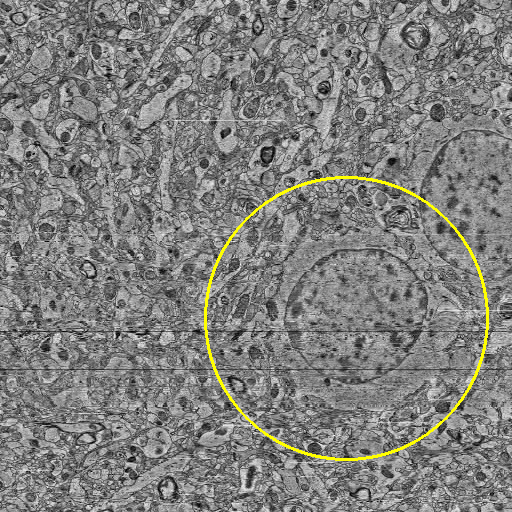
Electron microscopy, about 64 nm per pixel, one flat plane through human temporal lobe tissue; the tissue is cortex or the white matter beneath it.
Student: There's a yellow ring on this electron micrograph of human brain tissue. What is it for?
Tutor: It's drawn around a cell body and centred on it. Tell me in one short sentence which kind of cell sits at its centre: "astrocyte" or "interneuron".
The cell at the centre of the ring is an astrocyte.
